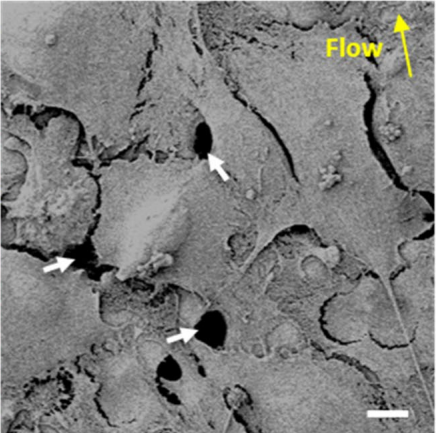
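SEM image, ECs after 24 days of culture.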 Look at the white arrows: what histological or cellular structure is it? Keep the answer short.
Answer: open gaps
